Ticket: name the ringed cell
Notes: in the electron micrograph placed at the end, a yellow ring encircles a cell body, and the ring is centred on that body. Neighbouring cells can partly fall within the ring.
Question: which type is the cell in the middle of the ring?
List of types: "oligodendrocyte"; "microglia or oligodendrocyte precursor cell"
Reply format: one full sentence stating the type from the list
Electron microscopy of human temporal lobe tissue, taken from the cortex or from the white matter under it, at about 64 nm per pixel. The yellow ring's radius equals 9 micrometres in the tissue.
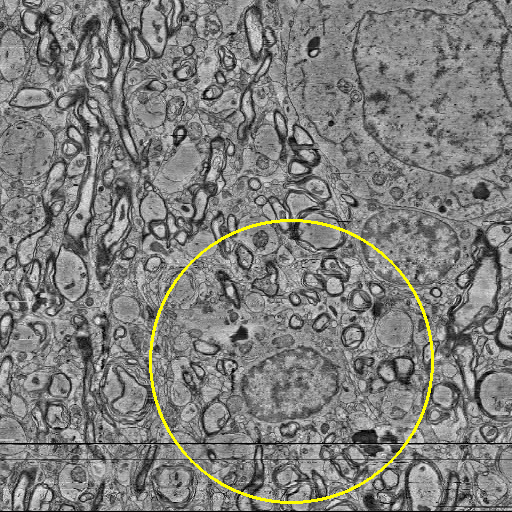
The cell sitting at the centre of the yellow ring is an oligodendrocyte.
